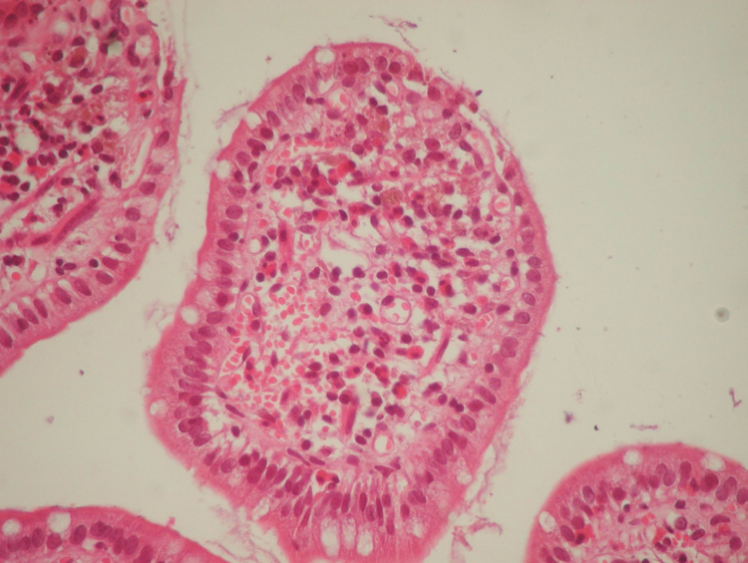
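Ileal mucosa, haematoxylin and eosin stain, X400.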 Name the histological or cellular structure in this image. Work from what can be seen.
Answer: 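A finger-like projection cut in cross-section is covered on all sides by a single layer of tall columnar epithelium. A loose cellular core lies inside the epithelial covering. Parts of similar projections appear at the corners of the image. That points to this answer: villi.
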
